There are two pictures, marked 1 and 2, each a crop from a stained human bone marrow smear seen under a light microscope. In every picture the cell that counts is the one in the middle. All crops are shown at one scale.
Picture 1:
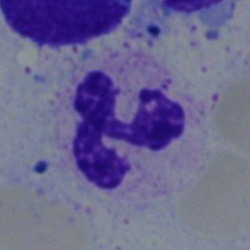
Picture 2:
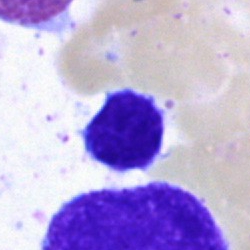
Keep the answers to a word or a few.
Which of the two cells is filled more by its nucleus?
2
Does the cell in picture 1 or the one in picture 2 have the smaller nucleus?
2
